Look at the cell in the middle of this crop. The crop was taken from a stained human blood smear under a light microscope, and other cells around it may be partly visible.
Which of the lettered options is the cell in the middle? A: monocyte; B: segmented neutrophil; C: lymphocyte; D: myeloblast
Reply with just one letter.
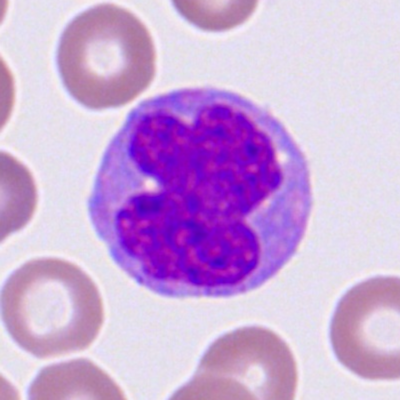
A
